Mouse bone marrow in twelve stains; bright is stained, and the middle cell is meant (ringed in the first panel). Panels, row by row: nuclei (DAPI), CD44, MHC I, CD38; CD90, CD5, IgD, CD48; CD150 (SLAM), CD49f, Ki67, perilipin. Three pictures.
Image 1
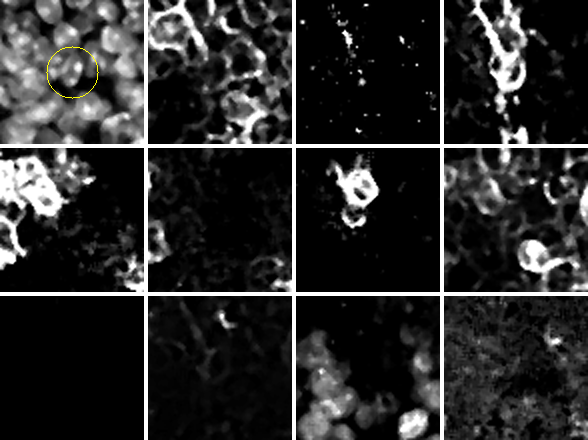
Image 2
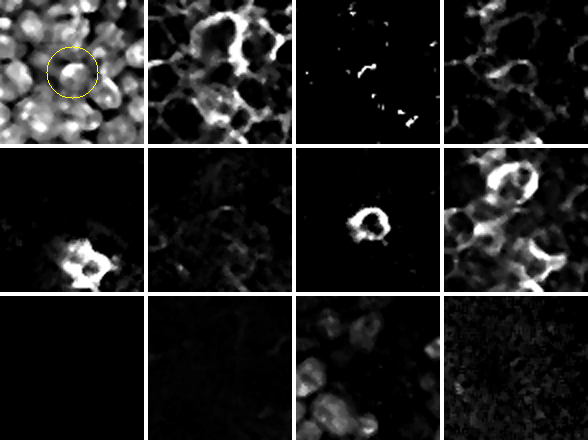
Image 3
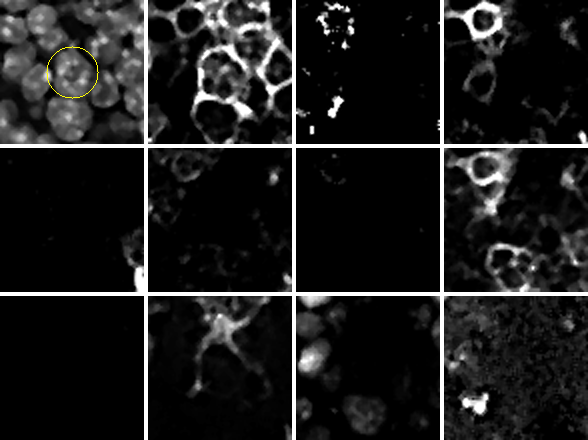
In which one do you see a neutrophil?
In picture 3.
